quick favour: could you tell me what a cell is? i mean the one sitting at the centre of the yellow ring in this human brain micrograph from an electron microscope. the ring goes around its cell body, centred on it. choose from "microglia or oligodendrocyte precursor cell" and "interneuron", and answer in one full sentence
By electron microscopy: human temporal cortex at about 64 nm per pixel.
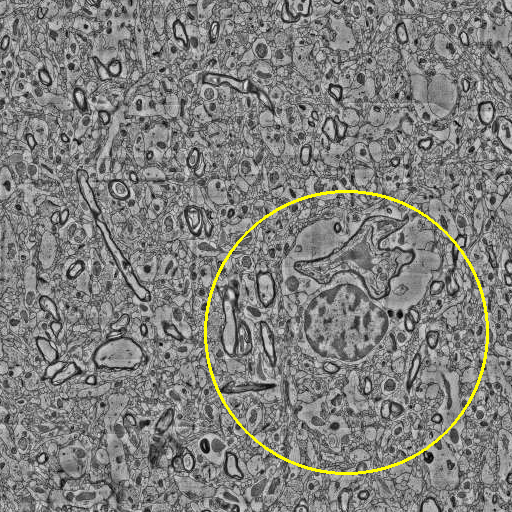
That's a microglial cell or oligodendrocyte precursor cell, the cell sitting at the centre of the yellow ring.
